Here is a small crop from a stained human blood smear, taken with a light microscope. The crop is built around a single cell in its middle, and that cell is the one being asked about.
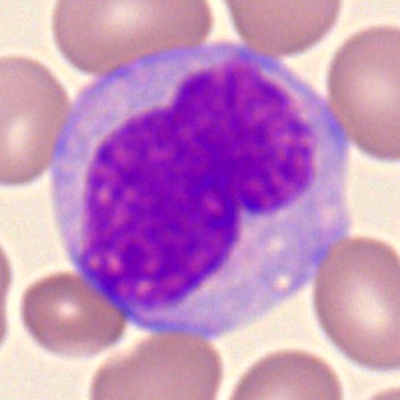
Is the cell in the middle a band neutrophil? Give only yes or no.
no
